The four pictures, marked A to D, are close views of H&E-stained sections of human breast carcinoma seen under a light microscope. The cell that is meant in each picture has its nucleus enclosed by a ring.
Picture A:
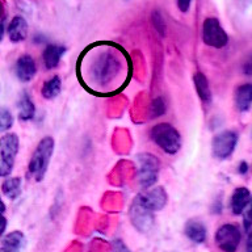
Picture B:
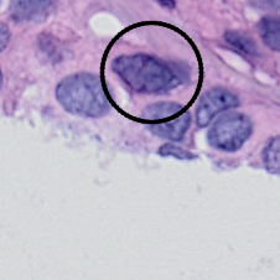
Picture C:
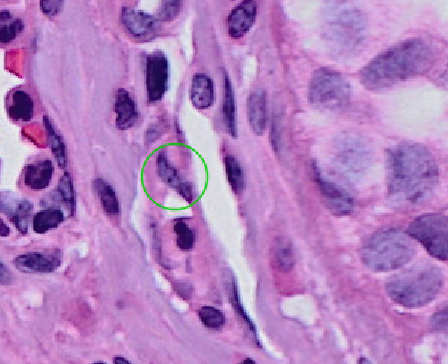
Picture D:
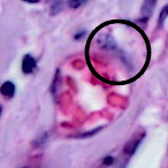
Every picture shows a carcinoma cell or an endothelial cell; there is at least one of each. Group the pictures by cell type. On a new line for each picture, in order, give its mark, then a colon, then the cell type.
A: endothelial cell
B: carcinoma cell
C: endothelial cell
D: endothelial cell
